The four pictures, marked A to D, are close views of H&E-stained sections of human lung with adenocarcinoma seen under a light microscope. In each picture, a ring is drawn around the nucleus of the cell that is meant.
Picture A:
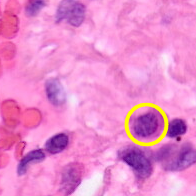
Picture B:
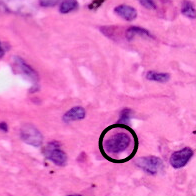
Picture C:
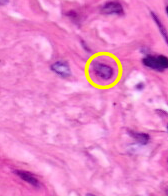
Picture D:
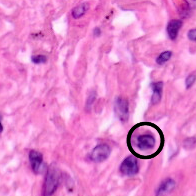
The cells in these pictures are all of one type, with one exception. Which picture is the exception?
C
